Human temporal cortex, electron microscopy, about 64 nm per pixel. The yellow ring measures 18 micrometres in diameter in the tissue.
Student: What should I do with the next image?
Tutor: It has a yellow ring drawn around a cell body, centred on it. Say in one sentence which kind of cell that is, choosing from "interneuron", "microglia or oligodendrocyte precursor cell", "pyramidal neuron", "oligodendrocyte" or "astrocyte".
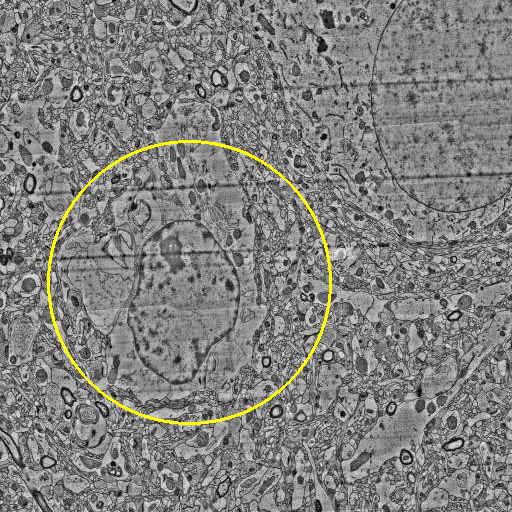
The ring's centre is occupied by an astrocyte.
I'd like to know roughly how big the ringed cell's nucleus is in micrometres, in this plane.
In this plane the nucleus is roughly 10 by 7 micrometres, clearly longer than it is wide.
